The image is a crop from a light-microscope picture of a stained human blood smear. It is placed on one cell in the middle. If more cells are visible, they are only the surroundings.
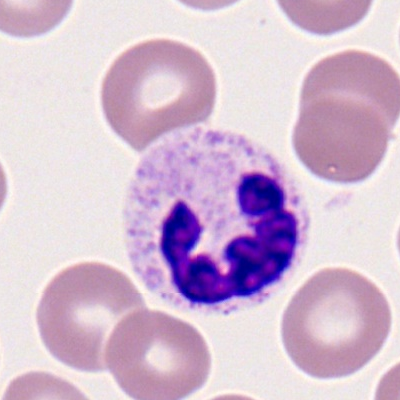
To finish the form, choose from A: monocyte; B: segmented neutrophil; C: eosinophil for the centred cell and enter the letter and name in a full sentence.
In the middle of the crop is a segmented neutrophil; option B is therefore correct.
